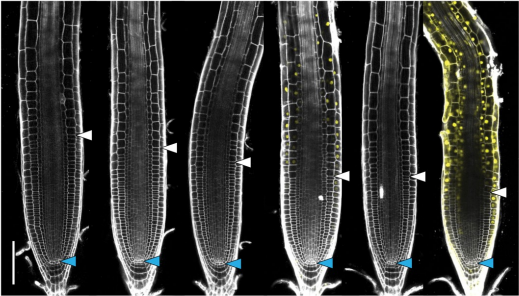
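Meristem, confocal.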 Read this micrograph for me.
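Six root tips side by side, seen in longitudinal optical section with cell walls outlined in white. Each tip shows the root cap at the bottom, above which parallel files of small, closely packed, roughly box-shaped cells run up the root; the files converge toward a small group of quiescent center cells near the tip. Further up, the cells of the files begin to lengthen, marking the end of the meristematic zone. In some roots small yellow dots lie in many cells, and in the rightmost root the tissue is diffusely yellow, with the zone of small cells appearing shorter.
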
